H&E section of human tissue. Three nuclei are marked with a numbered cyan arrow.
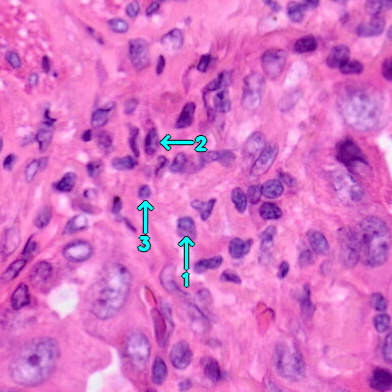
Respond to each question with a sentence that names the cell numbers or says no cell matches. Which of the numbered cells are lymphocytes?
The cells picked out by numbers 1 and 3 are lymphocytes.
